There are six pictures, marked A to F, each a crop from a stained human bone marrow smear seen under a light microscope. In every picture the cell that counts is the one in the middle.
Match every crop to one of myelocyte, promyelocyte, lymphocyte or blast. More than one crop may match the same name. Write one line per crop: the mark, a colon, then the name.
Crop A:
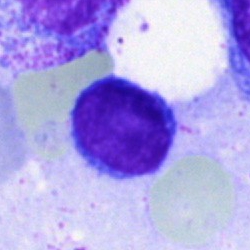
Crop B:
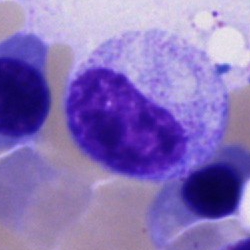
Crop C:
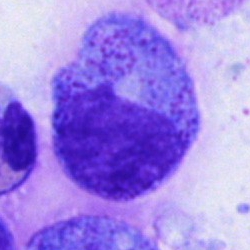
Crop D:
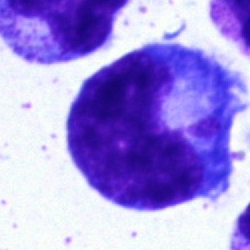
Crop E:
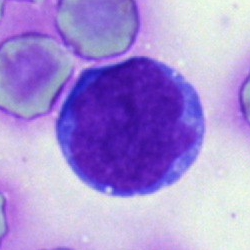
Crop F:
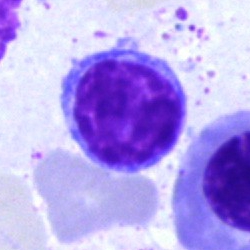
A: lymphocyte
B: myelocyte
C: promyelocyte
D: promyelocyte
E: blast
F: lymphocyte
